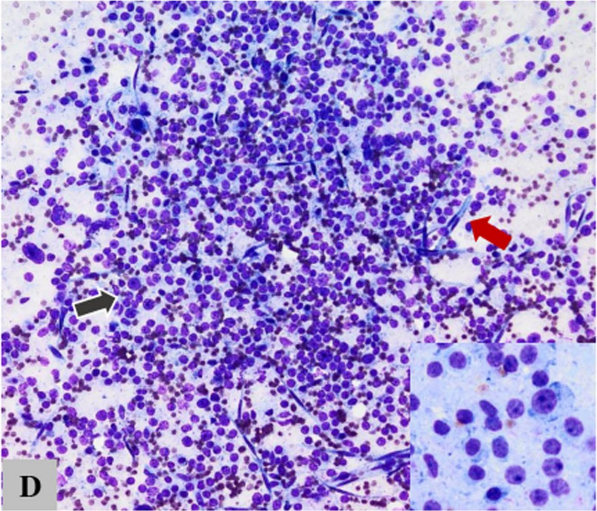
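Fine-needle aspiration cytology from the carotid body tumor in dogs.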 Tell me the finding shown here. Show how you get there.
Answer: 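Anisocariosis. In the enlarged inset the nuclei differ clearly in size from one cell to the next. The nuclei are round to oval and purple, with little surrounding cytoplasm.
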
